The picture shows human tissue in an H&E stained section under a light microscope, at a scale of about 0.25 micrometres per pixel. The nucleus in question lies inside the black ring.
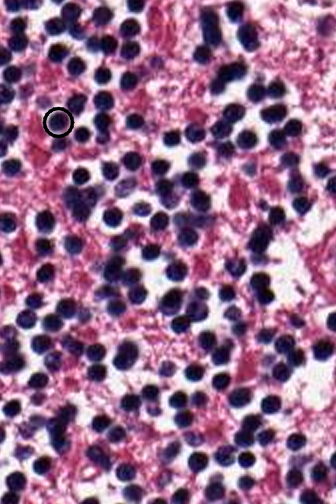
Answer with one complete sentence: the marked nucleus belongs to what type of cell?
Marked in this picture is the nucleus of a cerebellar granule cell.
